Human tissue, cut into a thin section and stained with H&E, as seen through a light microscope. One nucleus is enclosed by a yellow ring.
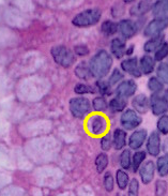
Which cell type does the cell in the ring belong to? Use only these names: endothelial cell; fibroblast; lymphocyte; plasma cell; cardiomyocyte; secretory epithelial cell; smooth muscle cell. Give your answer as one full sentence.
In this section of tissue, the cell in the ring is a secretory epithelial cell.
